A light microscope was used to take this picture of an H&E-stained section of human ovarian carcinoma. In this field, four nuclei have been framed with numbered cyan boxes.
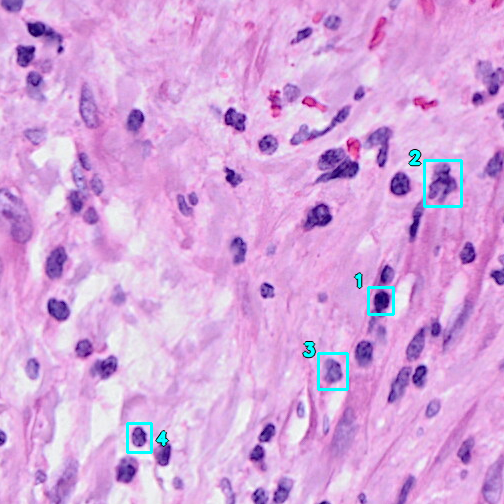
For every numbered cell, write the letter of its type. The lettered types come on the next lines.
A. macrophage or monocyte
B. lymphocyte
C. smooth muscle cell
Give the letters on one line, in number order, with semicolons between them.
B; A; B; B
